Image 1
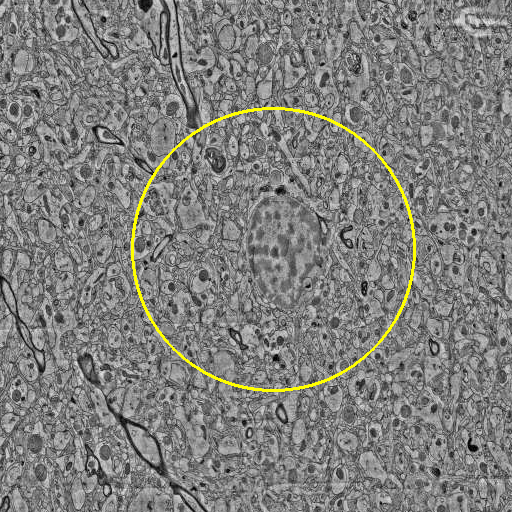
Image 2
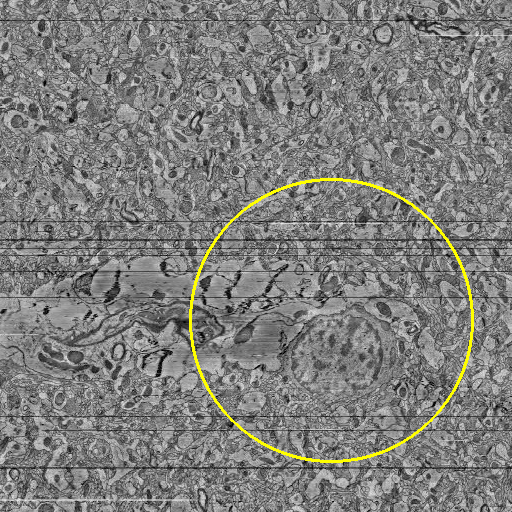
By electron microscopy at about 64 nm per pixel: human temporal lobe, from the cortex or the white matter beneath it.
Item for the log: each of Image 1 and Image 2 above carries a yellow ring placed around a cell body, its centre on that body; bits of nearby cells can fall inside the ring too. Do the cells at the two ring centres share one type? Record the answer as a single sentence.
Yes, the two cells at the ring centres in Image 1 and Image 2 share one type.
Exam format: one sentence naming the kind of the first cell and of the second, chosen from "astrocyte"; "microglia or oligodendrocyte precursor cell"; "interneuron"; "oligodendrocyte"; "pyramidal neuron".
In each of the two pictures, the ringed cell is an oligodendrocyte.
